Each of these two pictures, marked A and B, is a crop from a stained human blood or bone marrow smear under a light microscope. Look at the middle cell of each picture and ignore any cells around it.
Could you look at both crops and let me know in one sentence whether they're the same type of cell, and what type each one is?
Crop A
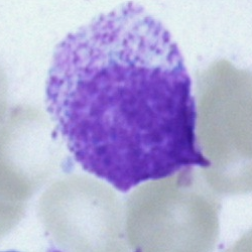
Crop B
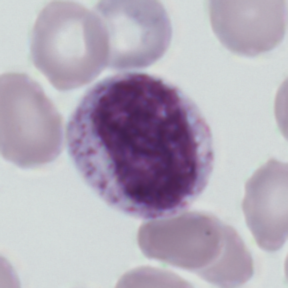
No, the cell in crop A is a myelocyte and the one in crop B is a metamyelocyte.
